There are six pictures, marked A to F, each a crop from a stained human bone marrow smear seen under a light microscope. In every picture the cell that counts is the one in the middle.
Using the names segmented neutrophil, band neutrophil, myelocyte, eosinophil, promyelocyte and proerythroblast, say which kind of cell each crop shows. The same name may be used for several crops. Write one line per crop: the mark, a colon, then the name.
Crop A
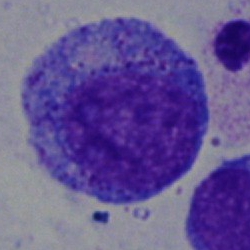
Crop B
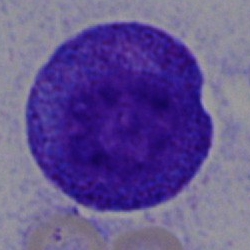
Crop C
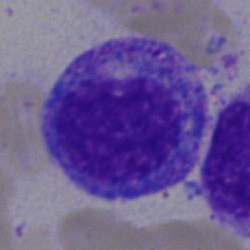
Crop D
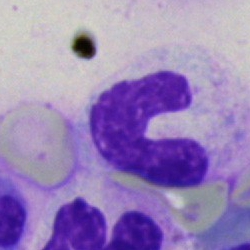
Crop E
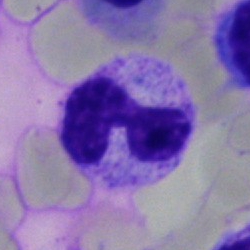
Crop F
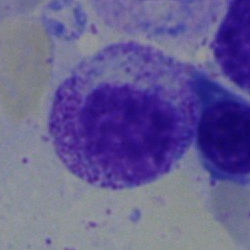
A: promyelocyte
B: promyelocyte
C: promyelocyte
D: band neutrophil
E: band neutrophil
F: myelocyte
